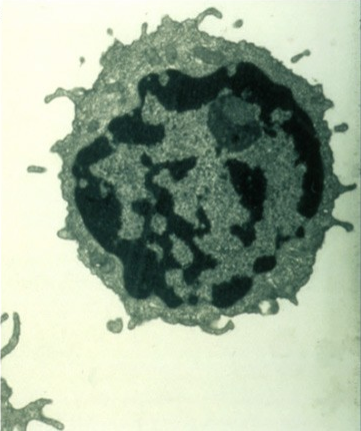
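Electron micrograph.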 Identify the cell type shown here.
lymphocyte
